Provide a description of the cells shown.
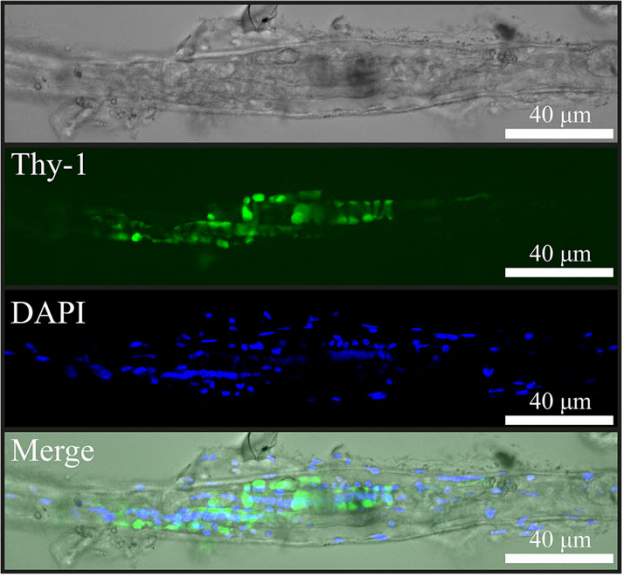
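This is a single isolated muscle spindle, a slender bundle of thin intrafusal muscle fibres lying lengthwise across the field. In the brightfield view the fibres run in parallel within a thin sheath, and the bundle is slightly thicker in its middle. Elongated blue nuclei lie along the fibres and are packed closely together in the central, equatorial stretch, where the nuclear bag region lies.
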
